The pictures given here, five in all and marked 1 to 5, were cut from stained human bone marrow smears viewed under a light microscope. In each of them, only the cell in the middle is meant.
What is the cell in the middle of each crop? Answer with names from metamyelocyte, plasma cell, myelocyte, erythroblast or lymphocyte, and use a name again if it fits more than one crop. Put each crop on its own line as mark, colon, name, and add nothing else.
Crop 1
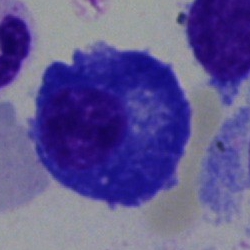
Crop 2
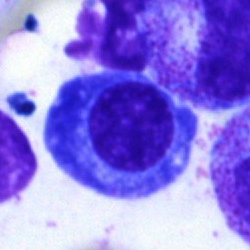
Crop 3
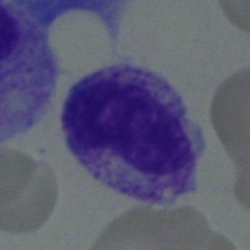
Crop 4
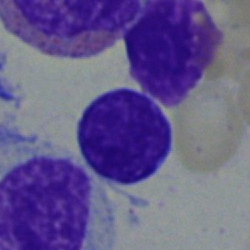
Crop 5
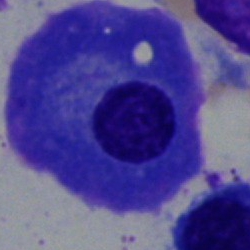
1: plasma cell
2: plasma cell
3: metamyelocyte
4: lymphocyte
5: plasma cell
